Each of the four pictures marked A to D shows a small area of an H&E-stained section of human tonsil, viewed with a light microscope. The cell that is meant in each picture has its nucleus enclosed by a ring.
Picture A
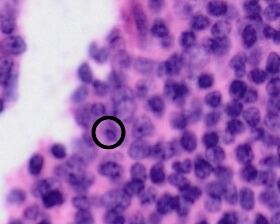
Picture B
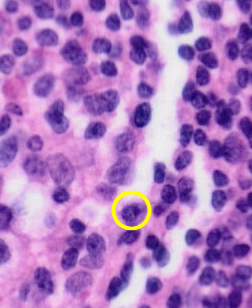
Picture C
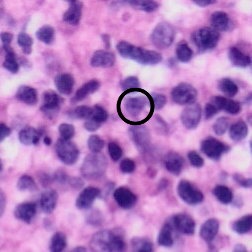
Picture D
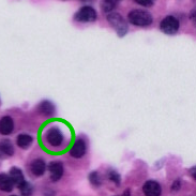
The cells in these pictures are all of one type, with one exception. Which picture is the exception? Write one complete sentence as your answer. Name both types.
All pictures except D show proliferating B cells; picture D shows a plasma cell.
